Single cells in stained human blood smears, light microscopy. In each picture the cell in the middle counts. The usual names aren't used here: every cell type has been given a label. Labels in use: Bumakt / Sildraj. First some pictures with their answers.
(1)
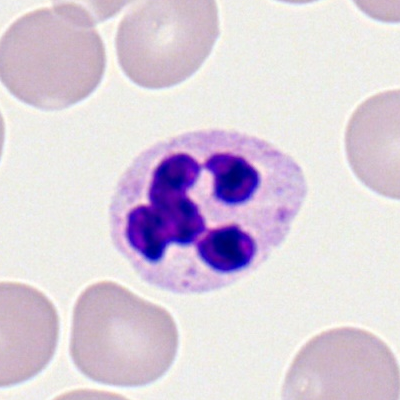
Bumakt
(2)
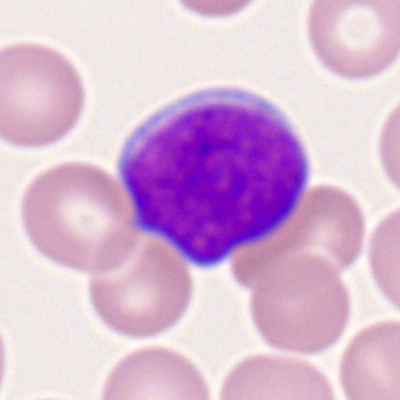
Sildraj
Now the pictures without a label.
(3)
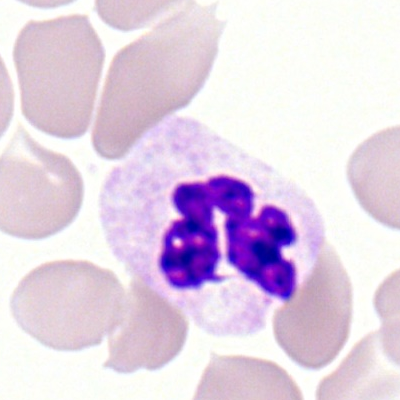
Bumakt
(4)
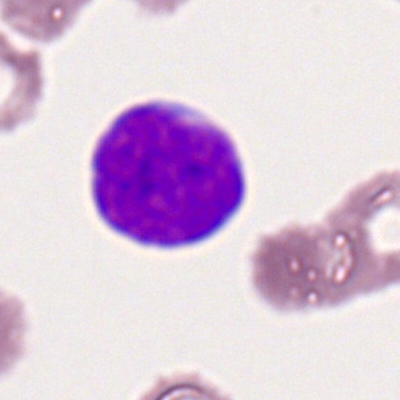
Sildraj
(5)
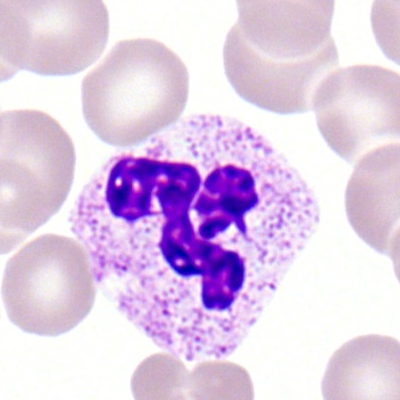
Bumakt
